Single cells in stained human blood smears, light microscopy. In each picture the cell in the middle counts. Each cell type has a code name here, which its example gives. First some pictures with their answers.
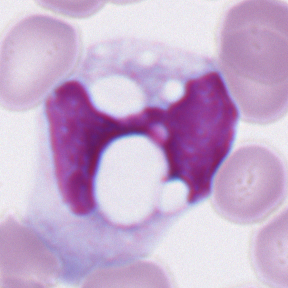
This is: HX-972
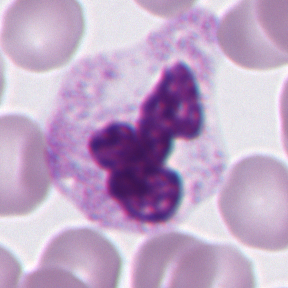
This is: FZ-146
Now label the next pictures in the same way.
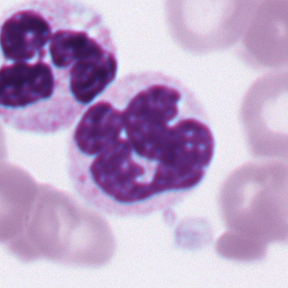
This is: FZ-146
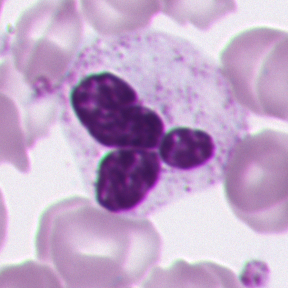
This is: FZ-146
